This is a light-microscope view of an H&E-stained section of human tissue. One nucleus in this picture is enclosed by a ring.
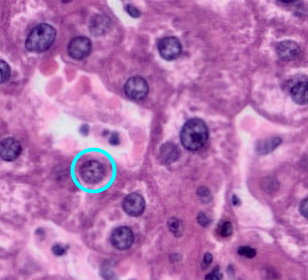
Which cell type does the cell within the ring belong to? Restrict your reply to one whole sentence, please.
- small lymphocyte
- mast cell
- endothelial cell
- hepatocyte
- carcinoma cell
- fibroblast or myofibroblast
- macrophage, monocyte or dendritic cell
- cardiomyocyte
In the stained section, the cell within the ring is a hepatocyte.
